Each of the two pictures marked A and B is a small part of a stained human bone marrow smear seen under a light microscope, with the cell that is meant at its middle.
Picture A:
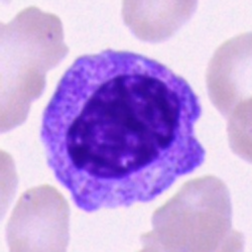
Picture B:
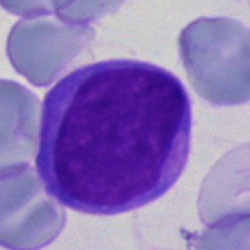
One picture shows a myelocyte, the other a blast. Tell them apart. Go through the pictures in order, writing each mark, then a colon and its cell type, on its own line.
A: myelocyte
B: blast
